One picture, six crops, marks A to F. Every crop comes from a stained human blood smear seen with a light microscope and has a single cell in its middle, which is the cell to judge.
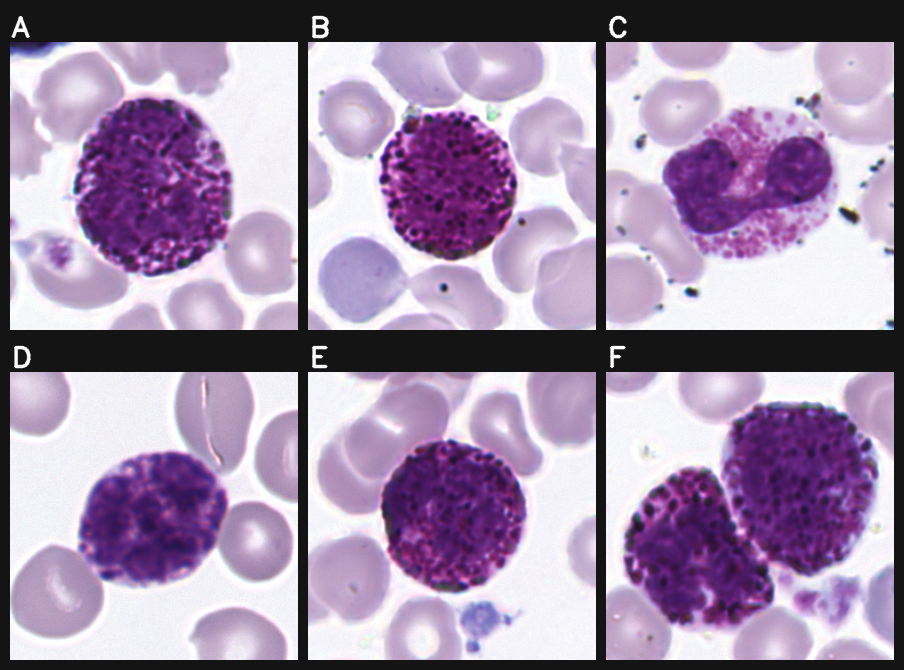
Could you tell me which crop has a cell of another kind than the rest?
C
